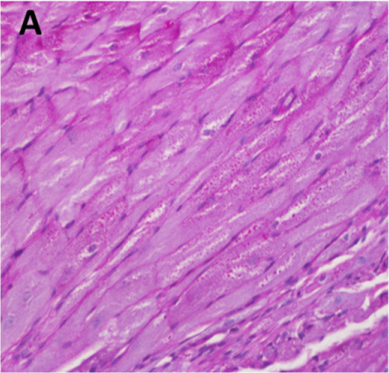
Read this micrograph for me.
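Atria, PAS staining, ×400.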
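This is heart muscle in longitudinal section, with elongated cardiac myocytes running diagonally in parallel across the field. The fibres have pink to magenta cytoplasm and slender, elongated blue-purple nuclei. Narrow pale spaces lie between the fibres.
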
